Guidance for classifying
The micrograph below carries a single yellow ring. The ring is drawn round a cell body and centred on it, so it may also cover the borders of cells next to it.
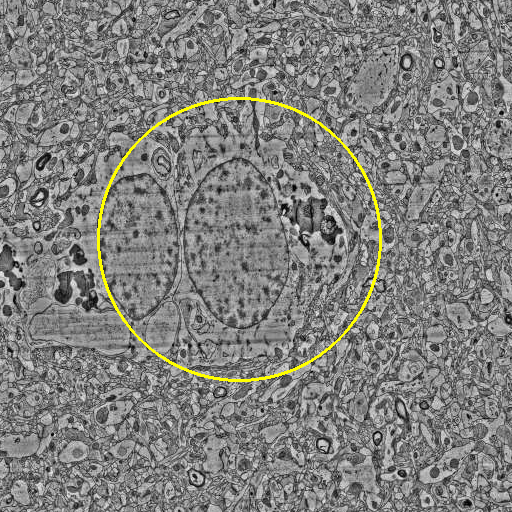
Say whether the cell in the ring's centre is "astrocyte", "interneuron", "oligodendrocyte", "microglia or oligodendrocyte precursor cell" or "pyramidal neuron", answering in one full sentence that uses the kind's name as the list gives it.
Within the yellow ring, an astrocyte is the cell whose body sits at the centre.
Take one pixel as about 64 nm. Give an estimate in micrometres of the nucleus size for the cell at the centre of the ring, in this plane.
In this plane, the nucleus is roughly 11 by 7 micrometres.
